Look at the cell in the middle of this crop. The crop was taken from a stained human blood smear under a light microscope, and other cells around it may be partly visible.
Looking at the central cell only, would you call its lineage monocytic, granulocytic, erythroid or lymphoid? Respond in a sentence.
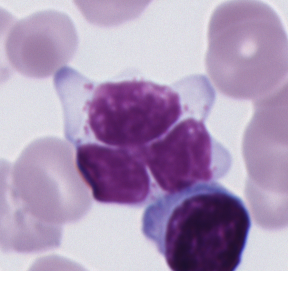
Among the lineages, the lymphoid one is that of the central cell.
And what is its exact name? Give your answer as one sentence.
The centrally located cell in the crop is a large granular lymphocyte.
